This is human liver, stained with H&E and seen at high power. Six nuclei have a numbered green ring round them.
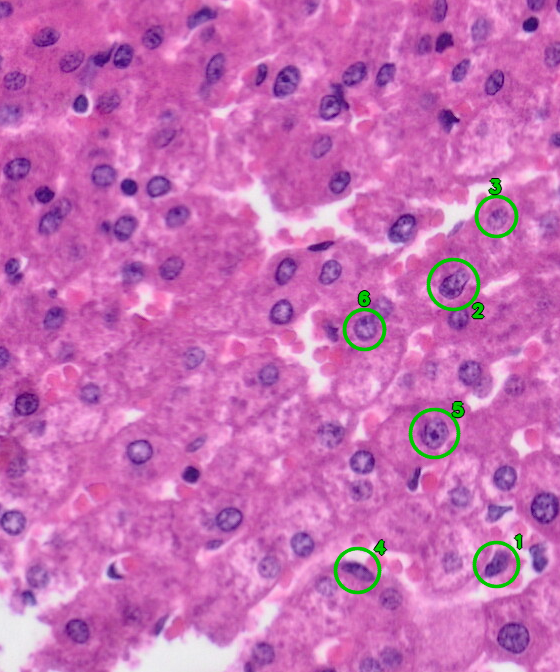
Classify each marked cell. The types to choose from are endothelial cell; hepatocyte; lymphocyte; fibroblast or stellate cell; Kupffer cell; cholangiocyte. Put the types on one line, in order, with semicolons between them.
Kupffer cell; hepatocyte; hepatocyte; Kupffer cell; hepatocyte; hepatocyte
